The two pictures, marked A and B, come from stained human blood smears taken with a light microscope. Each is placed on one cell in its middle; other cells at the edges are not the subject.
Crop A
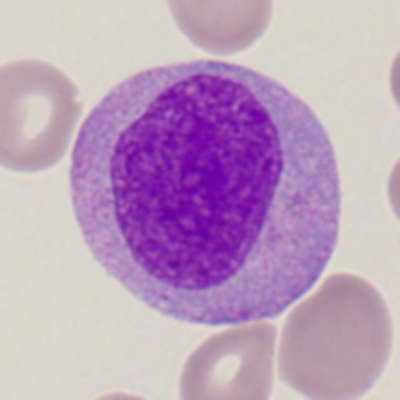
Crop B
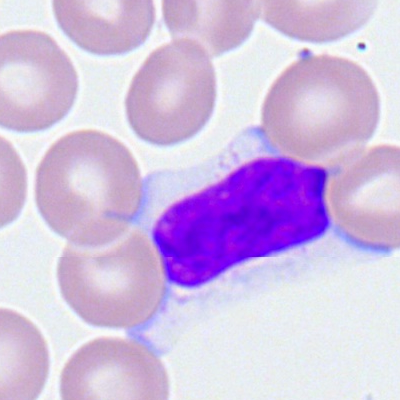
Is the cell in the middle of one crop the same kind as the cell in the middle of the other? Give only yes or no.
no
